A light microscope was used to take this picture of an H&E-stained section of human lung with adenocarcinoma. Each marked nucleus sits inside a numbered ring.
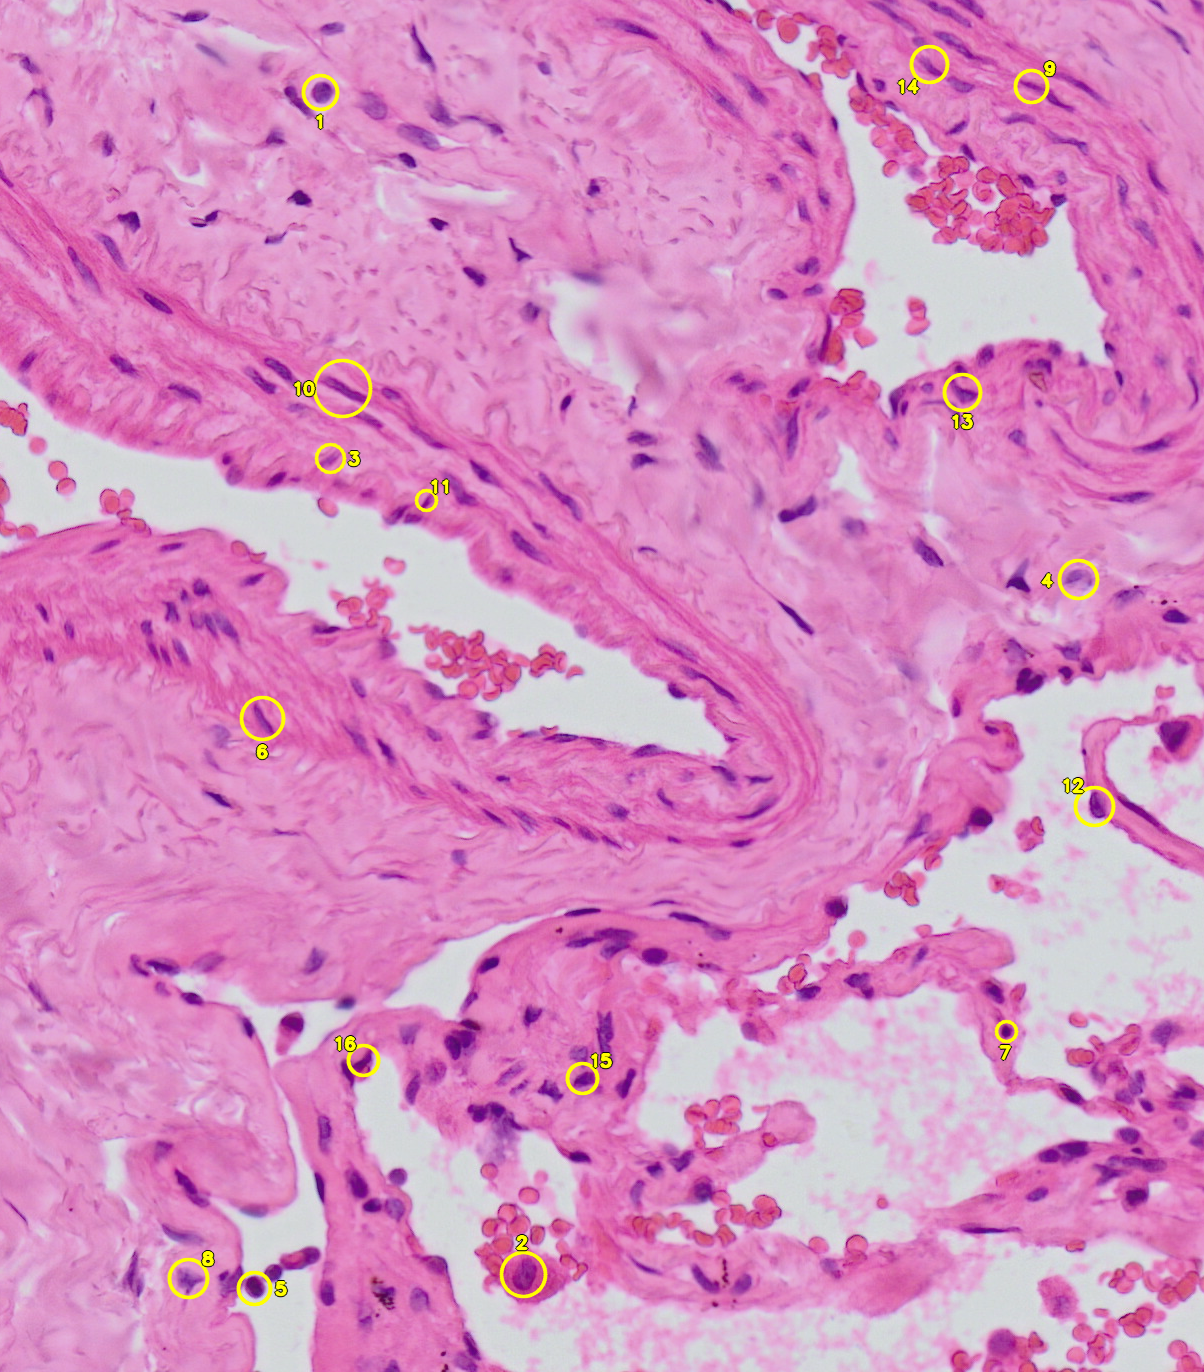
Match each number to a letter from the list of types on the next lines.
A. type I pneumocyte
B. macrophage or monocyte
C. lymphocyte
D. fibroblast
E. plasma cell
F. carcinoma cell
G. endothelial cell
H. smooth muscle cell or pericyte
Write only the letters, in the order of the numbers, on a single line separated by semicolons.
C; B; H; D; C; H; G; D; H; H; H; A; H; H; E; G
